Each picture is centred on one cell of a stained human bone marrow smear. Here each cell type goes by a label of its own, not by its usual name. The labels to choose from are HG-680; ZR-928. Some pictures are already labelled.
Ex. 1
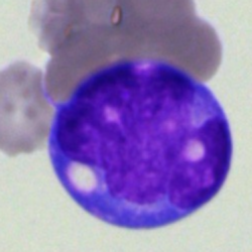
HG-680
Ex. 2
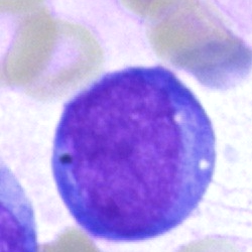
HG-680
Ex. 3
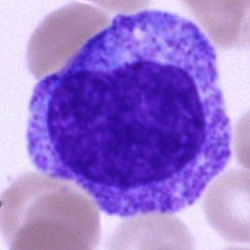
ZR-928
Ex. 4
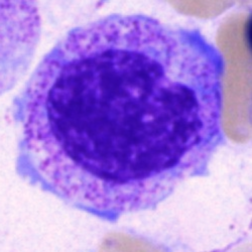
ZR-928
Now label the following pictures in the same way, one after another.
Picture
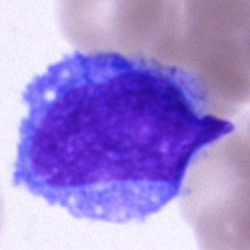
HG-680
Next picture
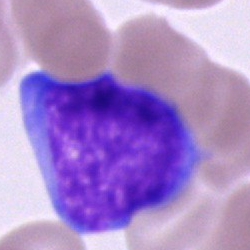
HG-680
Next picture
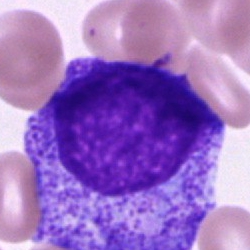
ZR-928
